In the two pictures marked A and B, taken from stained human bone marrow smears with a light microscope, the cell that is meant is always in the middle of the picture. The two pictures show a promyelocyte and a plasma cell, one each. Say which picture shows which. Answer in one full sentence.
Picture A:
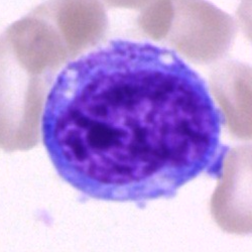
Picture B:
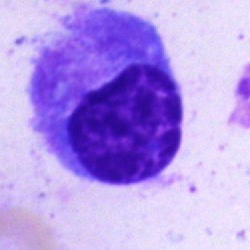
It is picture A that shows a promyelocyte, and picture B that shows a plasma cell.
